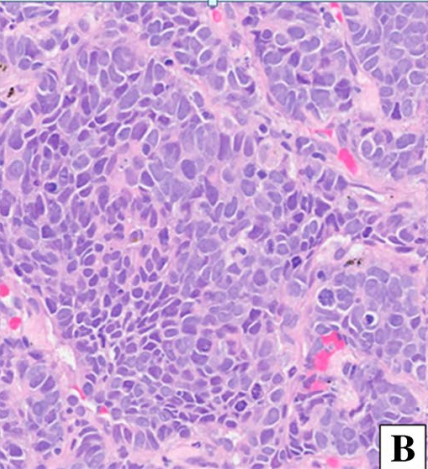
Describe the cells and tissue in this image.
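Solid lobules of large-sized tumour cells of a neuroendocrine carcinoma are packed closely, separated by thin pink fibrous strands with small vessels containing red blood cells. The nuclei are large, oval to angular, with fine chromatin, and adjacent nuclei press into one another in nuclear molding, while the cytoplasm is scant and pale violet.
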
